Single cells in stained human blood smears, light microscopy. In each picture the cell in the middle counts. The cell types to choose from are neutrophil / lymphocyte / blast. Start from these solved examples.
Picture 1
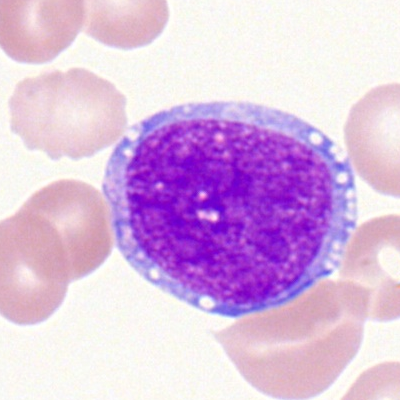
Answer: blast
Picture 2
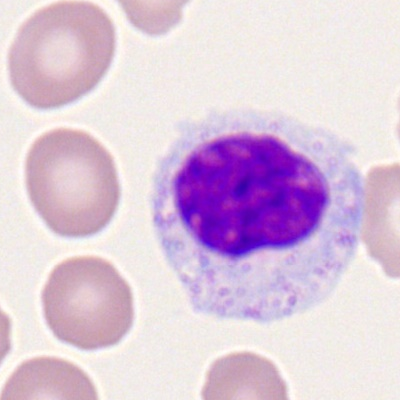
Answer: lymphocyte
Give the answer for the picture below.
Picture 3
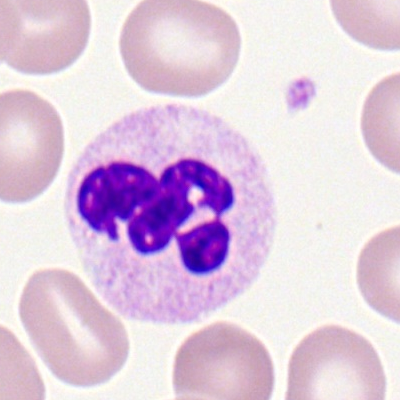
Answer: neutrophil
